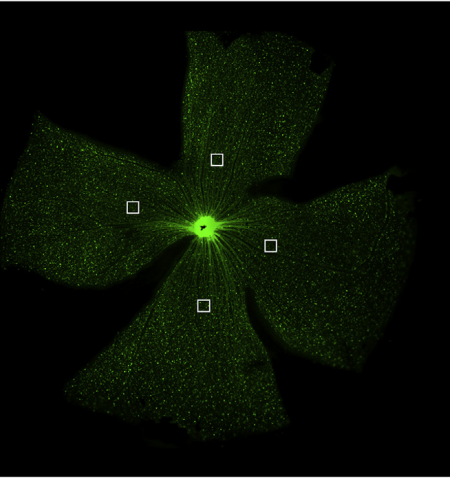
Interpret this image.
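A round sheet of tissue cut into four petals is strewn with many small green dots, while green fibre bundles run radially into a bright central spot. This is a retinal flat mount with fluorescent retinal ganglion cells, their axons converging on the optic nerve head.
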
